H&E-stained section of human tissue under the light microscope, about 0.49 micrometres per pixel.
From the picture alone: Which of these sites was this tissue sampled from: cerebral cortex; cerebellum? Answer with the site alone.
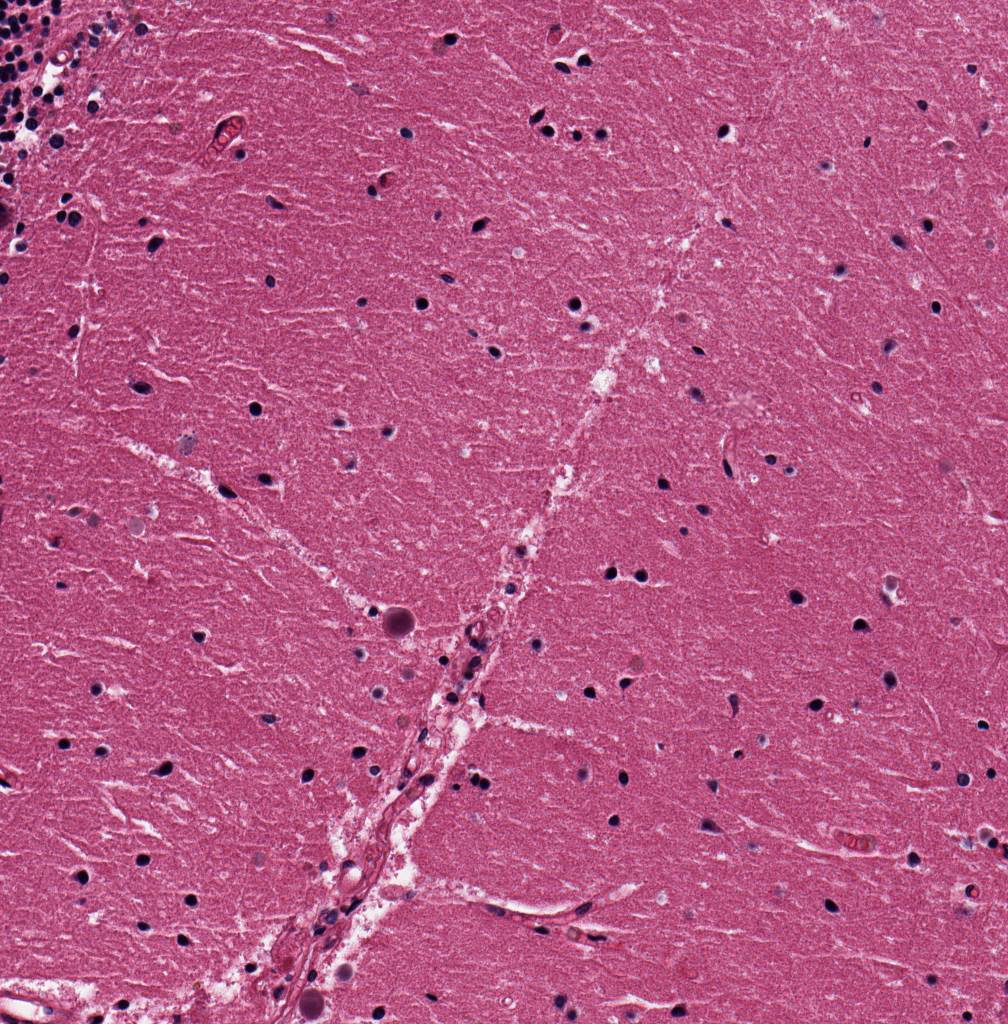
cerebellum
